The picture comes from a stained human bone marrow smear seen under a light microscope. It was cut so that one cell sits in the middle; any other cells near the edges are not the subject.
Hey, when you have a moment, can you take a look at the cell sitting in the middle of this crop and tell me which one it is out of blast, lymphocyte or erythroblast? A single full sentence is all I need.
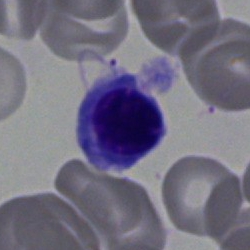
Present in the middle of the crop is an erythroblast.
